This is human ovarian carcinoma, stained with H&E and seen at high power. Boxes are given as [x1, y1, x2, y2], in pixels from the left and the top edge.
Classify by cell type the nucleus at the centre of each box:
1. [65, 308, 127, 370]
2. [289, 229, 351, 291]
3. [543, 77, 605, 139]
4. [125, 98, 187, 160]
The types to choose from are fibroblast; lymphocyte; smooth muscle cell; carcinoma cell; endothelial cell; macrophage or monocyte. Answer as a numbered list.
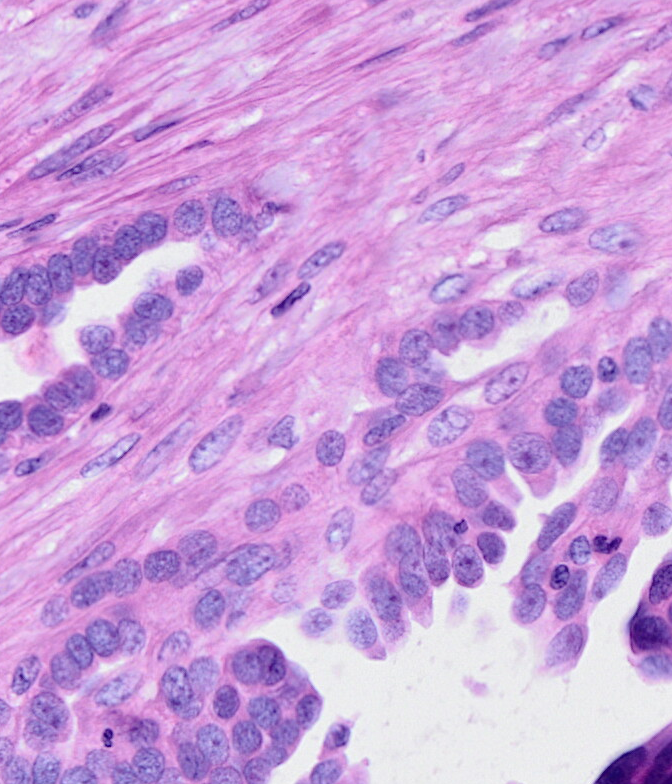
1. carcinoma cell
2. fibroblast
3. fibroblast
4. fibroblast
